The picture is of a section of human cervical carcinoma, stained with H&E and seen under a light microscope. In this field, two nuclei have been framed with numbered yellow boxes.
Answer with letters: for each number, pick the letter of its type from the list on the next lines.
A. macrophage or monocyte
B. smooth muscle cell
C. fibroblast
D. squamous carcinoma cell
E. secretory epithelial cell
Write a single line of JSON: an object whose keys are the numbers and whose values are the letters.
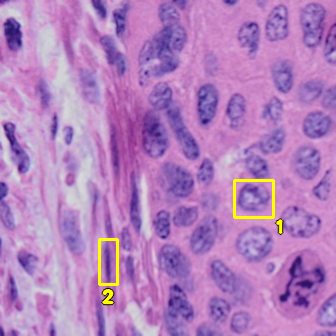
{"1": "D", "2": "C"}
